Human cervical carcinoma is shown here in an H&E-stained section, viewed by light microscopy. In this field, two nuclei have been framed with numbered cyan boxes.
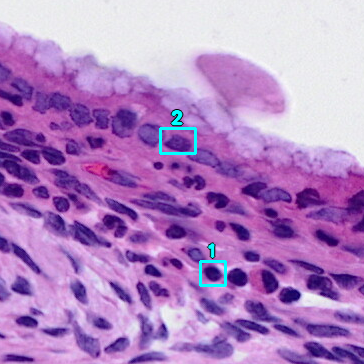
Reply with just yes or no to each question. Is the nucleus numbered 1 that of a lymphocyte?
yes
